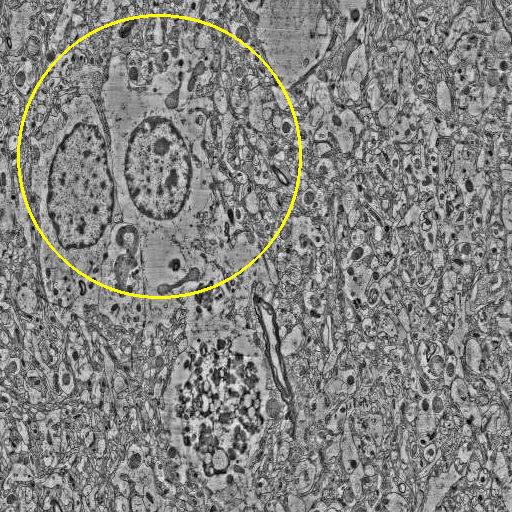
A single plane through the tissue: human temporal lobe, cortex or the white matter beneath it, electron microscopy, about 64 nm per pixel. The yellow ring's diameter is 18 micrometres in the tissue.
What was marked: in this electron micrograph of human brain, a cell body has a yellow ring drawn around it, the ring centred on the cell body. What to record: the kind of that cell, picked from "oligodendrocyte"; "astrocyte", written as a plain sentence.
The centred cell is an astrocyte.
